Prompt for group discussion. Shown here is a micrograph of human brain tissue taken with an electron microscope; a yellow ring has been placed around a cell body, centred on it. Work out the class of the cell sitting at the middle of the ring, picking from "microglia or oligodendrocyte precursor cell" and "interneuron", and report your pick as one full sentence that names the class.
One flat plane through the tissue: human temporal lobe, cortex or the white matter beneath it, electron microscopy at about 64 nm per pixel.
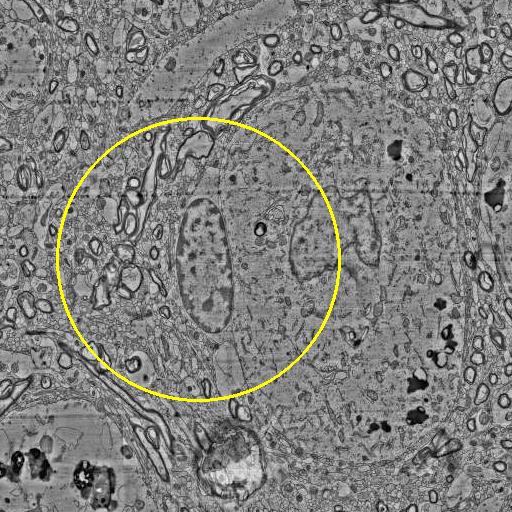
The cell sitting at the middle of the yellow ring is a microglial cell or oligodendrocyte precursor cell.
